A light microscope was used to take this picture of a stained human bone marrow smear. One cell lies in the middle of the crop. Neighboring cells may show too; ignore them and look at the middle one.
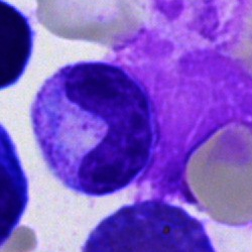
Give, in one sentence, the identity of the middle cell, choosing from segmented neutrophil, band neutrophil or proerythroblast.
At the center of the crop sits a band neutrophil.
